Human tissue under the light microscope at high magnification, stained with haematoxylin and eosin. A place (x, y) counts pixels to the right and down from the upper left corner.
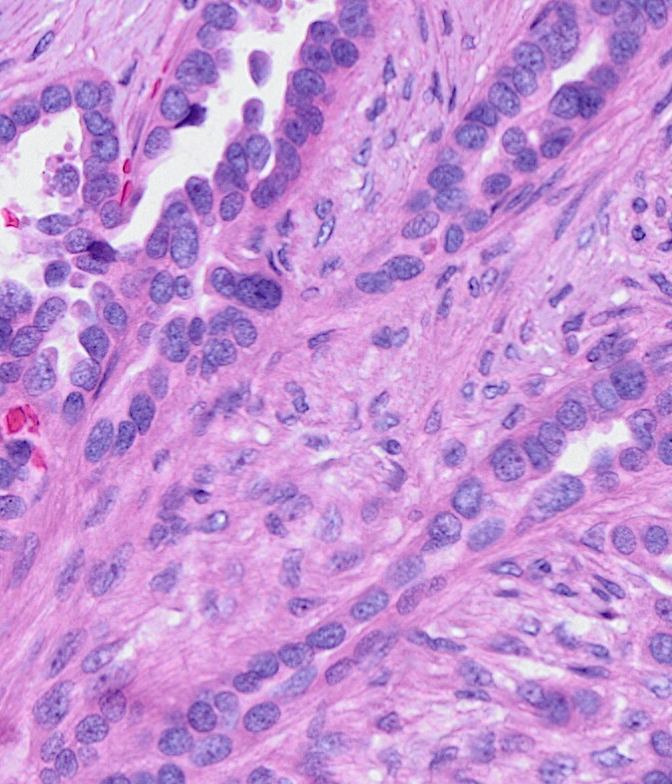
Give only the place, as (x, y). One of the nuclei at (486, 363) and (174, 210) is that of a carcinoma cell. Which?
(174, 210)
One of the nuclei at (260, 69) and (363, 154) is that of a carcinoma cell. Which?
(260, 69)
